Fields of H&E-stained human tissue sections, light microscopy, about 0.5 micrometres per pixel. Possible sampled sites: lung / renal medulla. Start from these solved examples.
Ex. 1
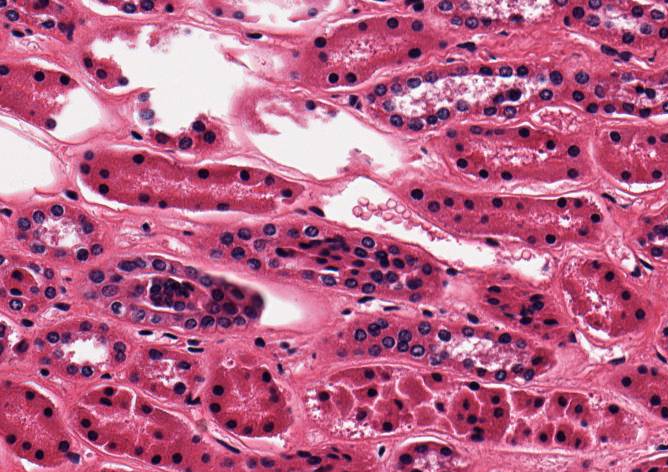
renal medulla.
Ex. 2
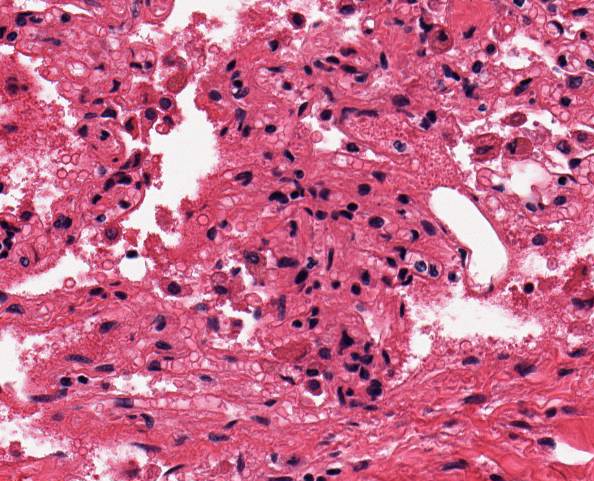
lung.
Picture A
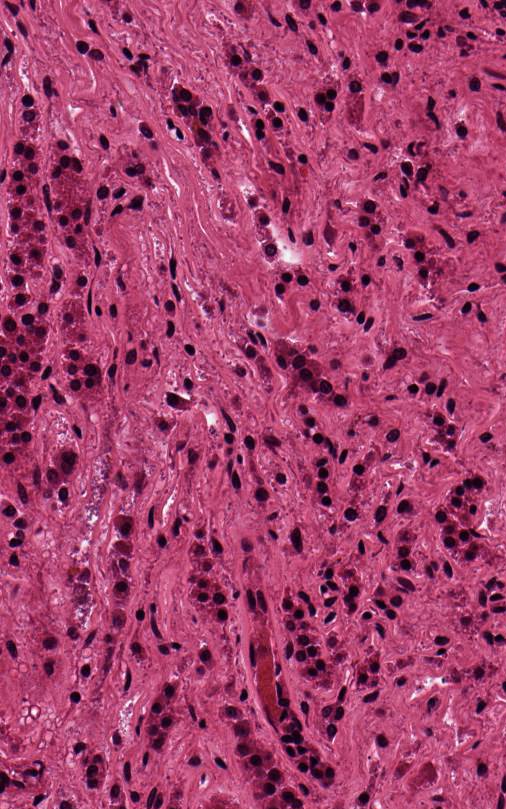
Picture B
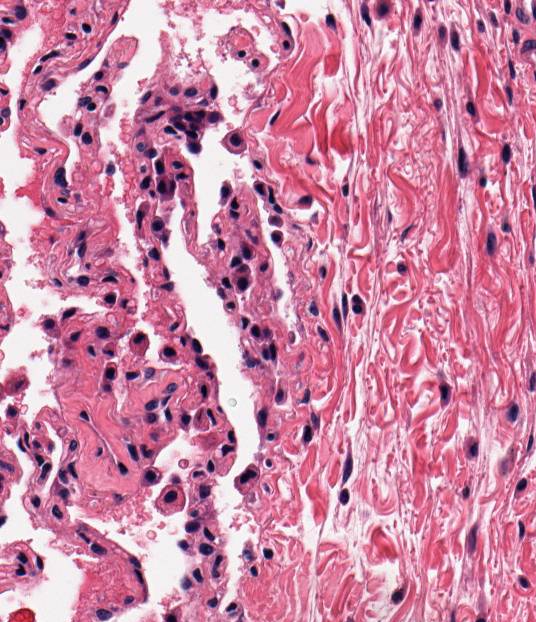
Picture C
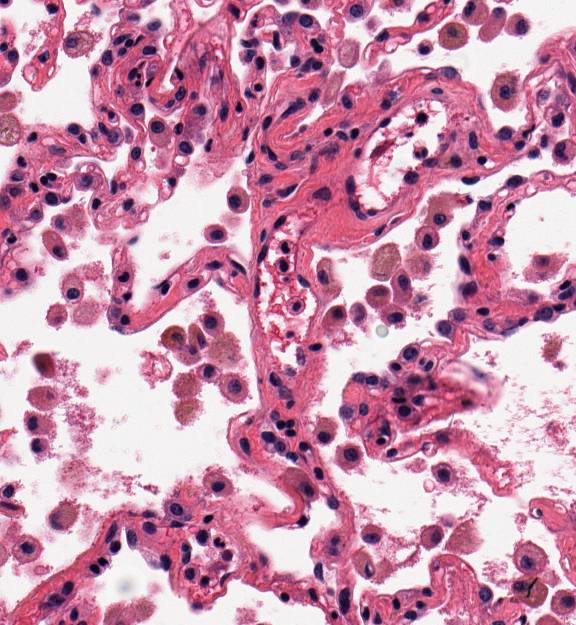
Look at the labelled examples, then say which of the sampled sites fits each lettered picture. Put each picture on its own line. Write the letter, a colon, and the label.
A: renal medulla.
B: lung.
C: lung.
